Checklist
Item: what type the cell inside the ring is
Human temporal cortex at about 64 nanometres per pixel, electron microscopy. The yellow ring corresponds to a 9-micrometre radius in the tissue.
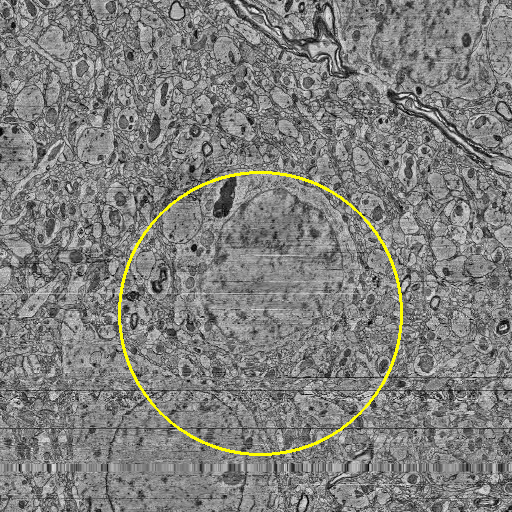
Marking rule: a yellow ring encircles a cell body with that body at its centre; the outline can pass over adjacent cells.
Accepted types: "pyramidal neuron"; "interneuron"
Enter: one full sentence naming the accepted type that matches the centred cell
The entry is that an interneuron lies at the centre of the yellow ring.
